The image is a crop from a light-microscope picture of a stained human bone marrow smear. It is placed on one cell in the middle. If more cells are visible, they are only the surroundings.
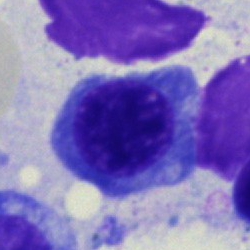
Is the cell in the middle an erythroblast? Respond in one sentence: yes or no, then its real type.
Yes, the cell positioned at the centre of the crop is an erythroblast.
